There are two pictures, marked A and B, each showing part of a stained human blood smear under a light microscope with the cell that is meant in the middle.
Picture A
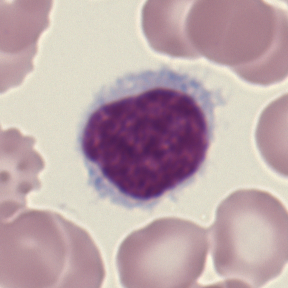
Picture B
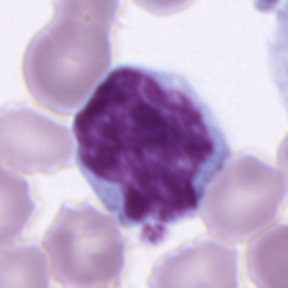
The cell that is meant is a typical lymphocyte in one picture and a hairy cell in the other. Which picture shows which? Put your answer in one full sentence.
Picture A shows a hairy cell and picture B shows a typical lymphocyte.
